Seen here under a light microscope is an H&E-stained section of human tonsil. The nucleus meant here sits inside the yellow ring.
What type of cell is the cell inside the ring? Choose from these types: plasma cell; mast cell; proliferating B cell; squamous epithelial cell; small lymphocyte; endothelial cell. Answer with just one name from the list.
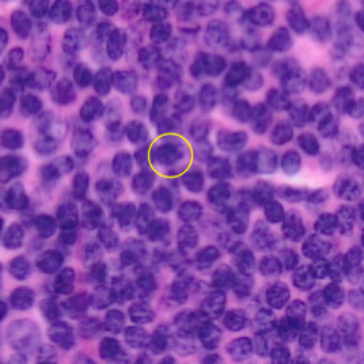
small lymphocyte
